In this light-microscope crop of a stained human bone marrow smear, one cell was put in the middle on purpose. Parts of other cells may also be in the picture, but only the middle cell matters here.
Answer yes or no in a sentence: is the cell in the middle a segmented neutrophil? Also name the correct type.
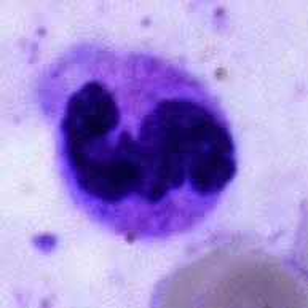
Yes, this is a segmented neutrophil, the cell in the middle of the crop.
